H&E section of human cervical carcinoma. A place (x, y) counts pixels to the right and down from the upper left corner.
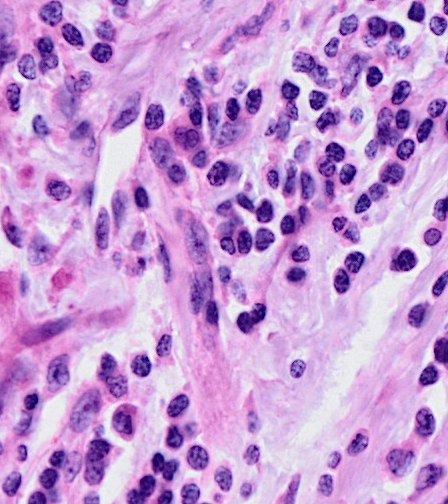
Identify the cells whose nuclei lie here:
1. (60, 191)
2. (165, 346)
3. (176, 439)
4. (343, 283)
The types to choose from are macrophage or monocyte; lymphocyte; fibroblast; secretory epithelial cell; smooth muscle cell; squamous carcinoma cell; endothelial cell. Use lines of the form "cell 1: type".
cell 1: macrophage or monocyte
cell 2: lymphocyte
cell 3: lymphocyte
cell 4: lymphocyte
